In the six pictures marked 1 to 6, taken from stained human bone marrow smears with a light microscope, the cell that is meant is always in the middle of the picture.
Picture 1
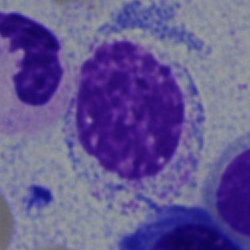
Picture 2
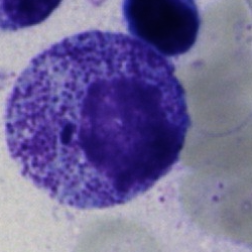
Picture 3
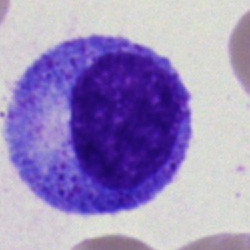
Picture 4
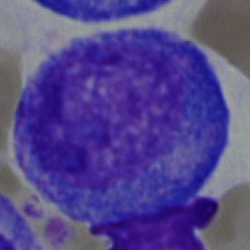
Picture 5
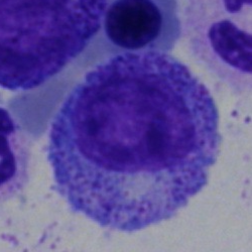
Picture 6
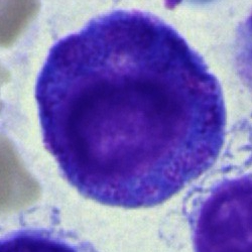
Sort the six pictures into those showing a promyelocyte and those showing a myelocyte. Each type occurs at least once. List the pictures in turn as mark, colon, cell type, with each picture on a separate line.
1: myelocyte
2: myelocyte
3: promyelocyte
4: promyelocyte
5: promyelocyte
6: promyelocyte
